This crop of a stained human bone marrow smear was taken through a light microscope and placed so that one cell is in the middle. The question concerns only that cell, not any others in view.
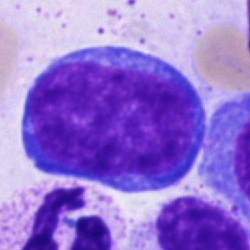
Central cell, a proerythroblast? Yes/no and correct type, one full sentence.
Yes, the cell at the heart of the crop is a proerythroblast.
